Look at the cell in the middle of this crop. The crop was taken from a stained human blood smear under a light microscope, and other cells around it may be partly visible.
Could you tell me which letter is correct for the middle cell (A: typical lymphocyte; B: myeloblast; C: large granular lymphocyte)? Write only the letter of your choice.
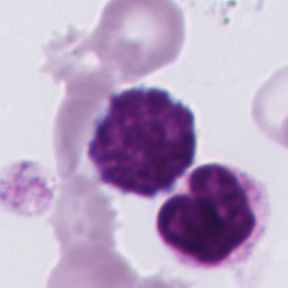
A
